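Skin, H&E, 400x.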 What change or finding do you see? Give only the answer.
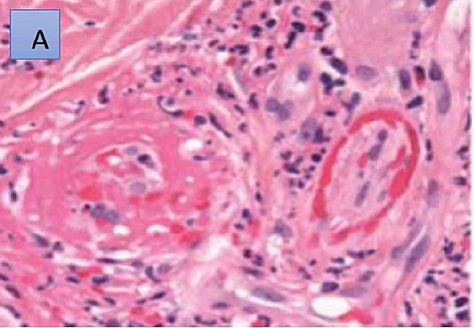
Dermal small vessel vasculitis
